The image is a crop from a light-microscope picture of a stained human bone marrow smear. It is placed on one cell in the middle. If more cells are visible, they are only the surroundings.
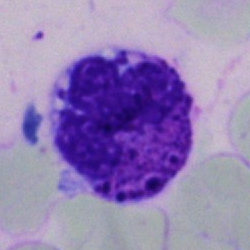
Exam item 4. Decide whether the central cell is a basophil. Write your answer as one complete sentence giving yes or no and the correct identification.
Yes, what sits in the middle of the crop is a basophil.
